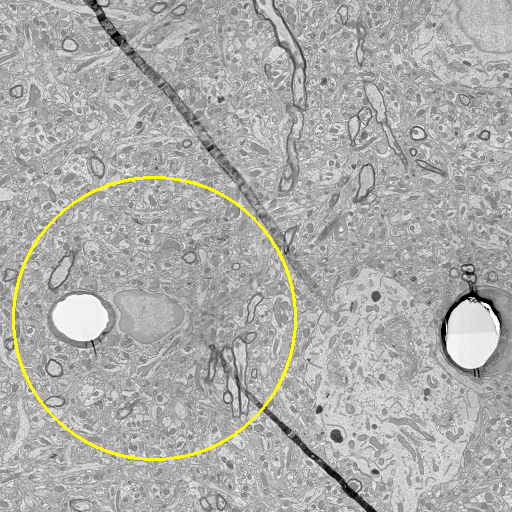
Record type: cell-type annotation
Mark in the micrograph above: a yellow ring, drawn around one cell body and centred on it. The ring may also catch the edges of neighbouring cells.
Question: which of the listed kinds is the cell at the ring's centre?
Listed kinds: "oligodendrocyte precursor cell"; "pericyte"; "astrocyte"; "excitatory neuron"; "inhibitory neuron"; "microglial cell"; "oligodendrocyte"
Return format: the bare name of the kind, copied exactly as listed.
microglial cell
